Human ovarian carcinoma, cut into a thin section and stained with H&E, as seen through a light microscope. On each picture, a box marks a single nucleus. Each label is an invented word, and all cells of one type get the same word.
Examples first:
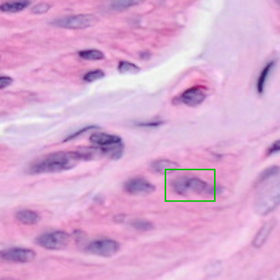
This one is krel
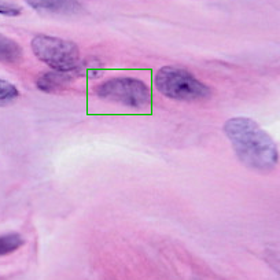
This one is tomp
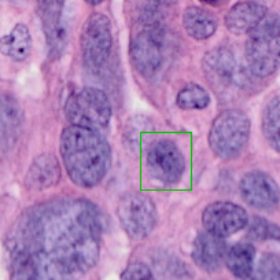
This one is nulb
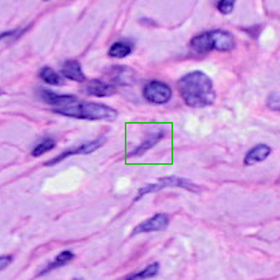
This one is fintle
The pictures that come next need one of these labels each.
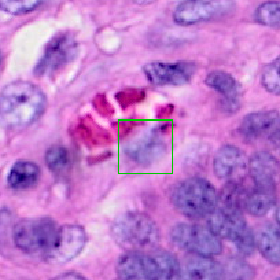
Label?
tomp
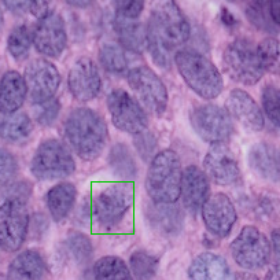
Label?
nulb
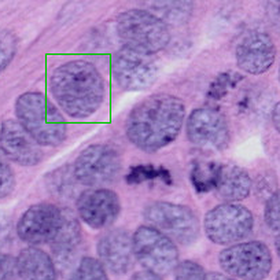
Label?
nulb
